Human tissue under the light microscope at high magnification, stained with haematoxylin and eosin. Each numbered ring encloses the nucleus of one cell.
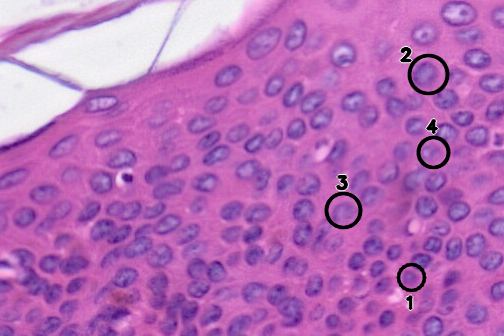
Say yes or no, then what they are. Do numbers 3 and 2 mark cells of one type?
Yes, along with cell 3, cell 2 is also among the suprabasal keratinocytes.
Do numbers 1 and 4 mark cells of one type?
No, the cell marked 1 is a basal keratinocyte, and the cell marked 4 is a suprabasal keratinocyte.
